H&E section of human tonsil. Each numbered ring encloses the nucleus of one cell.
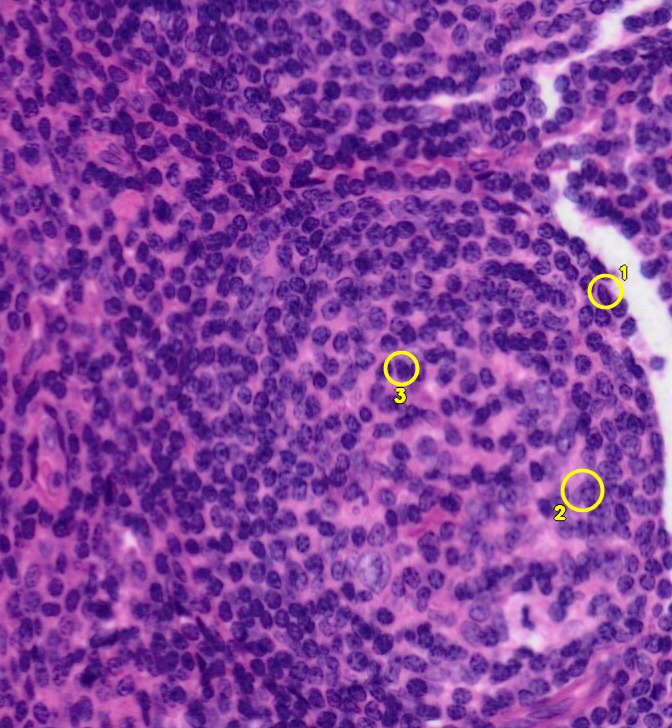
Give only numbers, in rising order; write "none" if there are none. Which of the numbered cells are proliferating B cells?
2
